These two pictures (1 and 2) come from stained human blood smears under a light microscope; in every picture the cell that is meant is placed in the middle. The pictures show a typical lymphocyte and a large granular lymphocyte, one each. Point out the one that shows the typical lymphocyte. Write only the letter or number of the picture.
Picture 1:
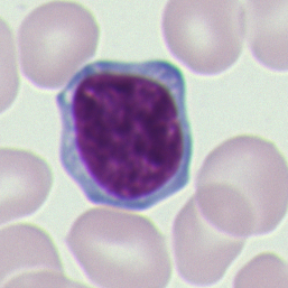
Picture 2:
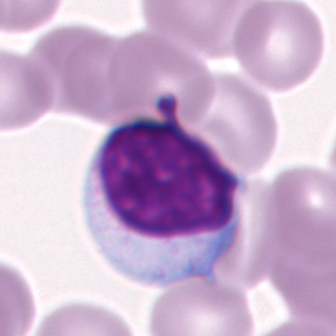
1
